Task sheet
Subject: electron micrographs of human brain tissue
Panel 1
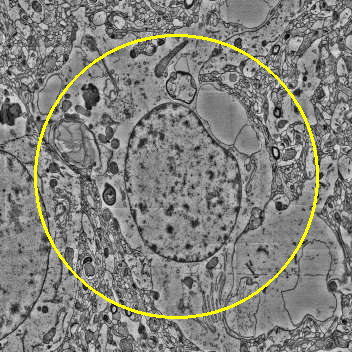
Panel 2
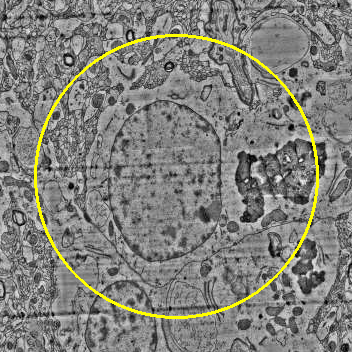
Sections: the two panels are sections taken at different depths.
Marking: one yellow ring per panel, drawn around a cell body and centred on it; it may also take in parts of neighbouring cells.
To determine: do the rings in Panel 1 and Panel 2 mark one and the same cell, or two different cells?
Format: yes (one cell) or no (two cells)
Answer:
no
